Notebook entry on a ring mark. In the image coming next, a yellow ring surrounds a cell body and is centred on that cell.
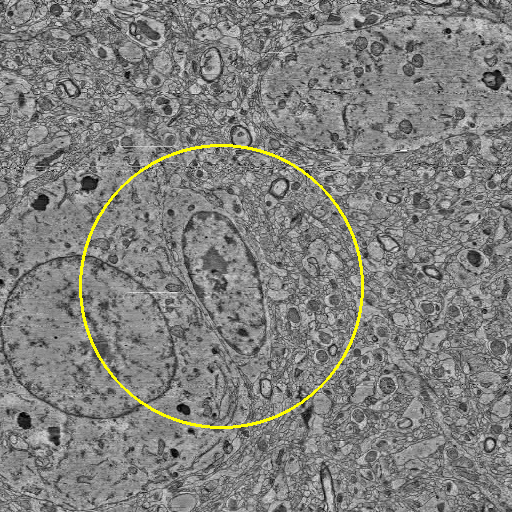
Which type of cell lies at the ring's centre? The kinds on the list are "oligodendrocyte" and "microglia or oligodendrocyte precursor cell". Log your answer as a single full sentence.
Centred in the yellow ring is a microglial cell or oligodendrocyte precursor cell, the cell recorded for this image.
